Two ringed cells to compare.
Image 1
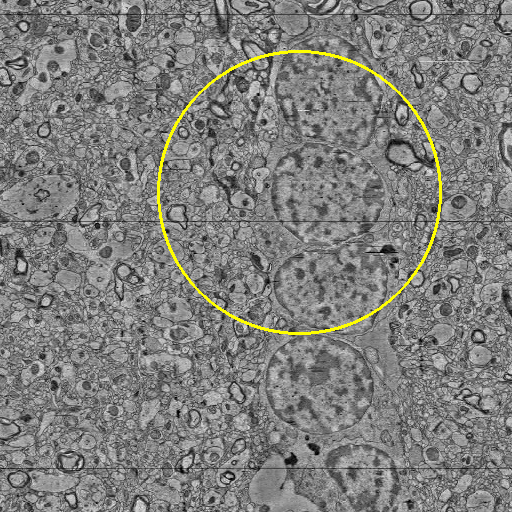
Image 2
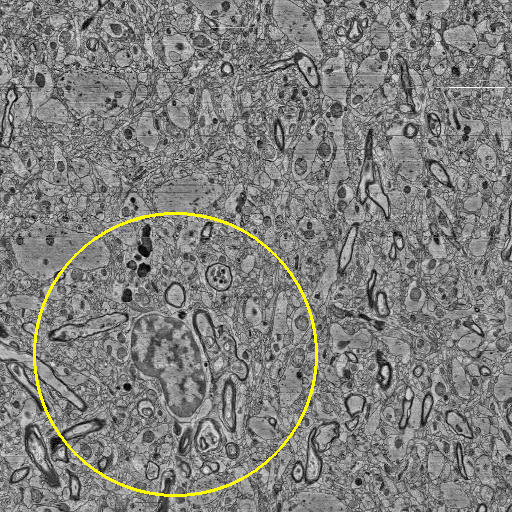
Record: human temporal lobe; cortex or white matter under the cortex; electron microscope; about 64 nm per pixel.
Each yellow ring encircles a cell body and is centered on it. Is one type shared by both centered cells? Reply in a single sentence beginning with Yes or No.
No, two types are found among the cells at the centers of the rings.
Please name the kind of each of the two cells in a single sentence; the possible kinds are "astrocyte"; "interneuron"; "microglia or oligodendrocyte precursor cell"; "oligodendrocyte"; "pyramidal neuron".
In the first picture the ring is centred on an oligodendrocyte, and in the second on a microglial cell or oligodendrocyte precursor cell.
